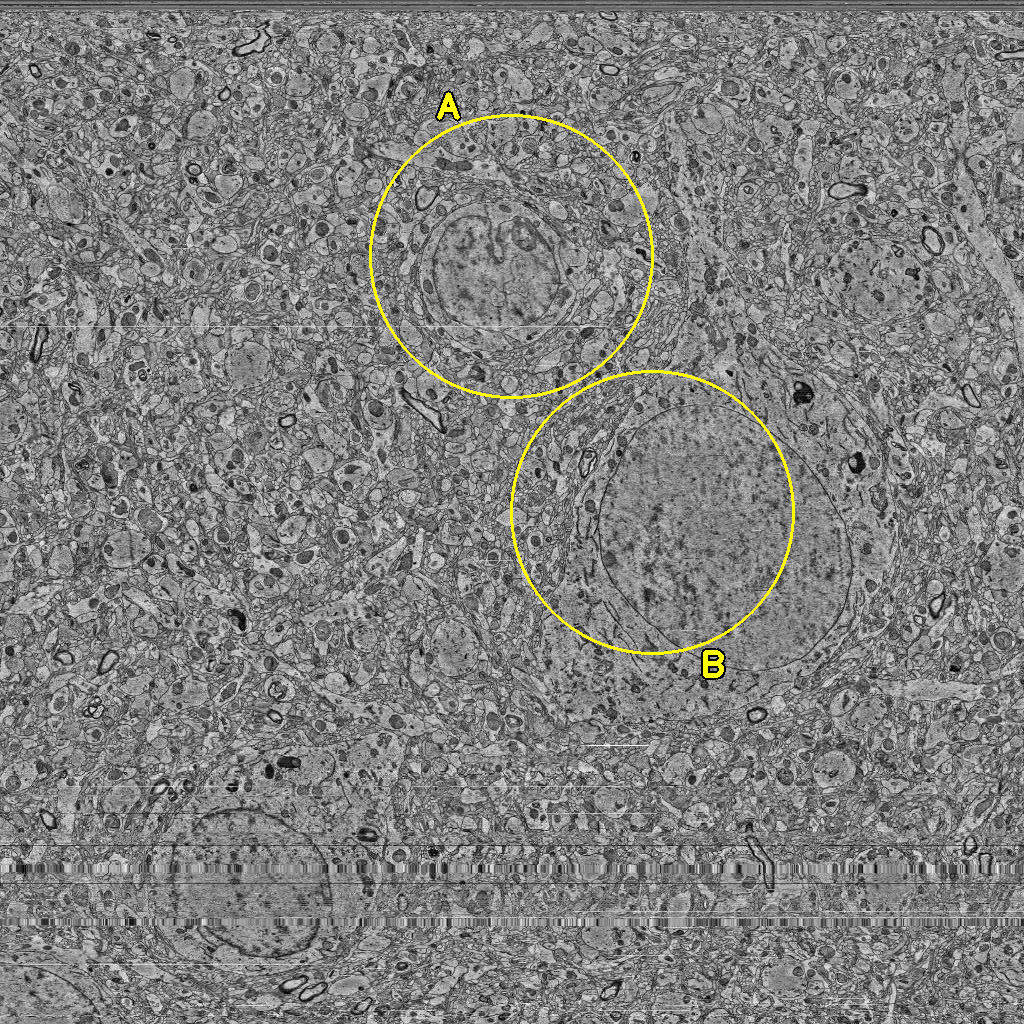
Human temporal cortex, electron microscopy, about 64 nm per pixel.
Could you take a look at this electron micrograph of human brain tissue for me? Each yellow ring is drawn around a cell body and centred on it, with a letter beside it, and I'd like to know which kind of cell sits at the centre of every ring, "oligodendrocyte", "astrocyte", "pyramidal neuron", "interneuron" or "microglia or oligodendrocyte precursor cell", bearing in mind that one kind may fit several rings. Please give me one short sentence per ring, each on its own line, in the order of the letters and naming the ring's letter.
Ring A is centred on an interneuron.
Ring B is centred on a pyramidal neuron.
